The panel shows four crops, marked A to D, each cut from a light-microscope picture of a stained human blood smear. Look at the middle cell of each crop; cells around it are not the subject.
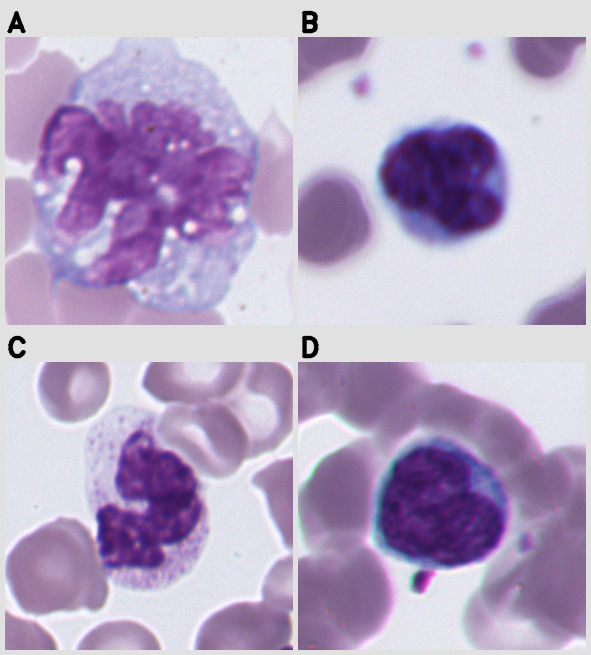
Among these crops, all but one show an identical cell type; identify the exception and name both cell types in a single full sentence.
Crop C is the only crop with a segmented neutrophil, the others all showing monocytes.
